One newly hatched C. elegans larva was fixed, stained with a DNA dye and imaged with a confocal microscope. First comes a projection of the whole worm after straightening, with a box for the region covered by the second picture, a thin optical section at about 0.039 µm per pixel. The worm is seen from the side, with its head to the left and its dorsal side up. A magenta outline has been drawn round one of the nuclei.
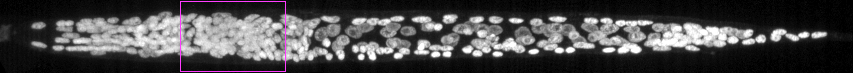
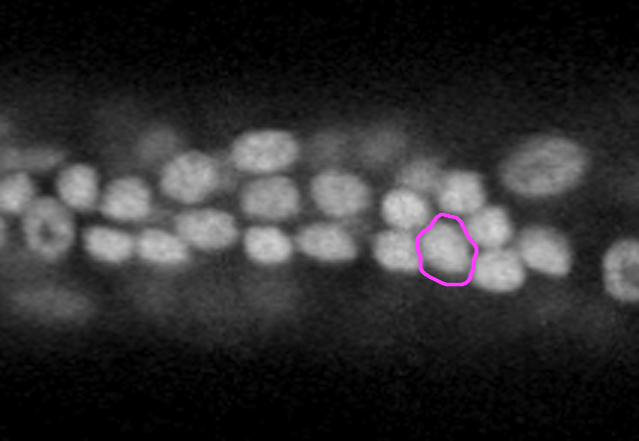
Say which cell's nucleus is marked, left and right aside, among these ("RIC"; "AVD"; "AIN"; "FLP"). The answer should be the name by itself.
FLP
